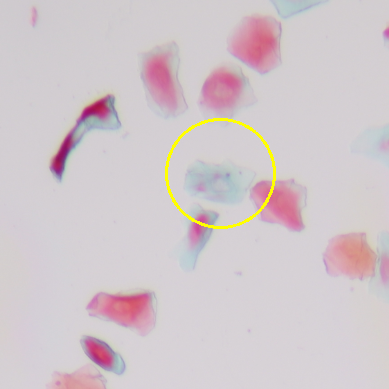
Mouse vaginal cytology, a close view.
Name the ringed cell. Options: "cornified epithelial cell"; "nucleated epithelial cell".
cornified epithelial cell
